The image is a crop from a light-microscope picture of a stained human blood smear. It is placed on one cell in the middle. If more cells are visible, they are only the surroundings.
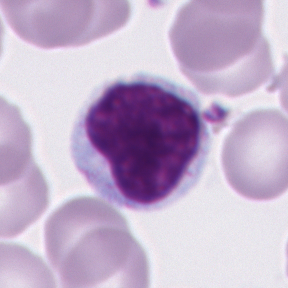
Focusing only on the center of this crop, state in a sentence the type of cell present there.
Occupying the centre of the crop is a typical lymphocyte.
